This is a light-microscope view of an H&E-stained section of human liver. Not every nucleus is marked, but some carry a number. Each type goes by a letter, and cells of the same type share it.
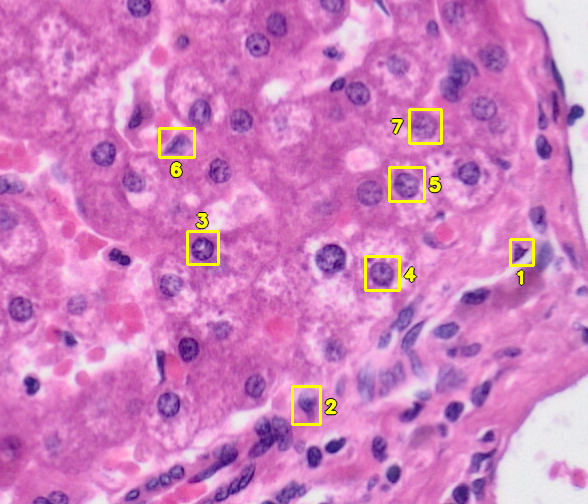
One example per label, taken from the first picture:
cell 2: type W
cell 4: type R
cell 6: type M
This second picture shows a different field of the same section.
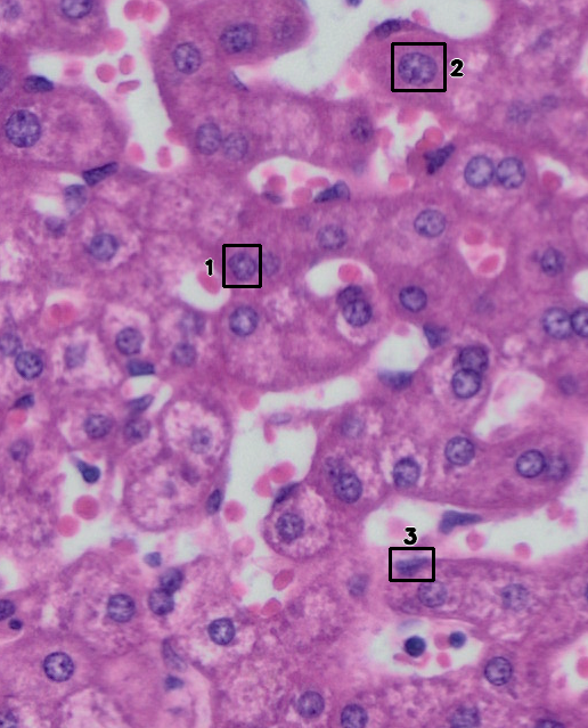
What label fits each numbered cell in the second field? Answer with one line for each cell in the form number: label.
1: type R
2: type R
3: type W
